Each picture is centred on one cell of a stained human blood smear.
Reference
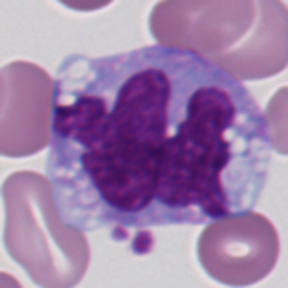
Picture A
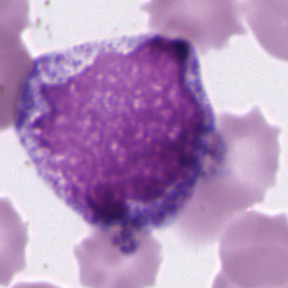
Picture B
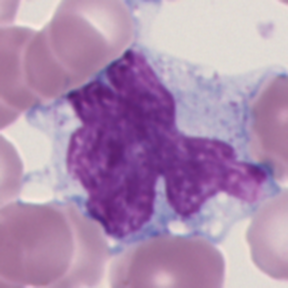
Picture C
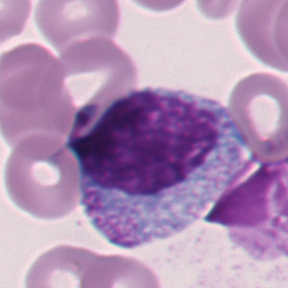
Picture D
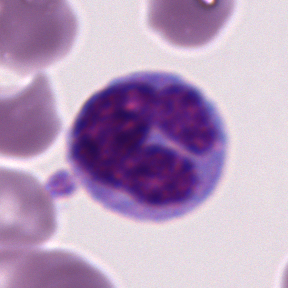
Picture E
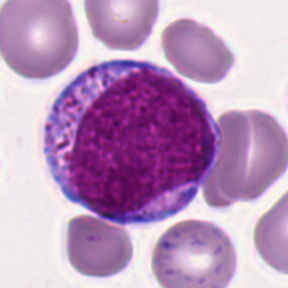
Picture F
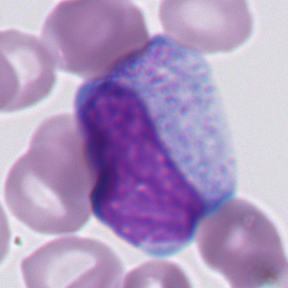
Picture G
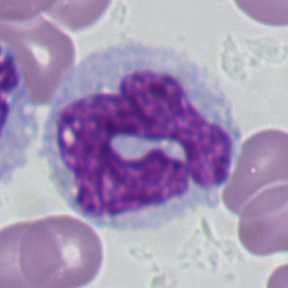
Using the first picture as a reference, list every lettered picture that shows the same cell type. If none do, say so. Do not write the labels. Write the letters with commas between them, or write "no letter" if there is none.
B, D, G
